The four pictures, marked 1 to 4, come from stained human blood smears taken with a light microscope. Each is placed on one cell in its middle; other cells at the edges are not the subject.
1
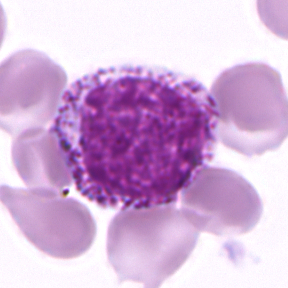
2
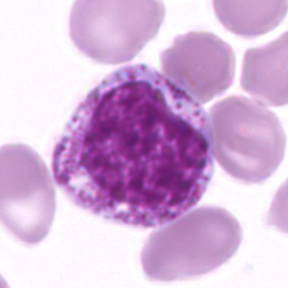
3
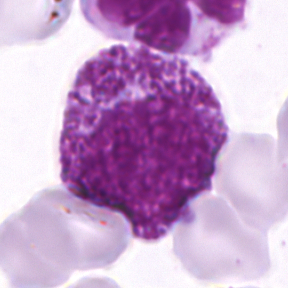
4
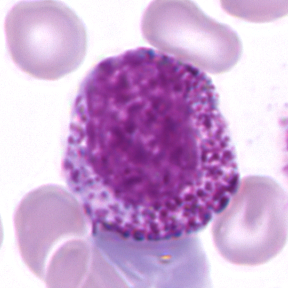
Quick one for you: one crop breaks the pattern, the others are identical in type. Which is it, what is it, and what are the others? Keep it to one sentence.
For this set, crop 2 is a metamyelocyte, and all the rest are myelocytes.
